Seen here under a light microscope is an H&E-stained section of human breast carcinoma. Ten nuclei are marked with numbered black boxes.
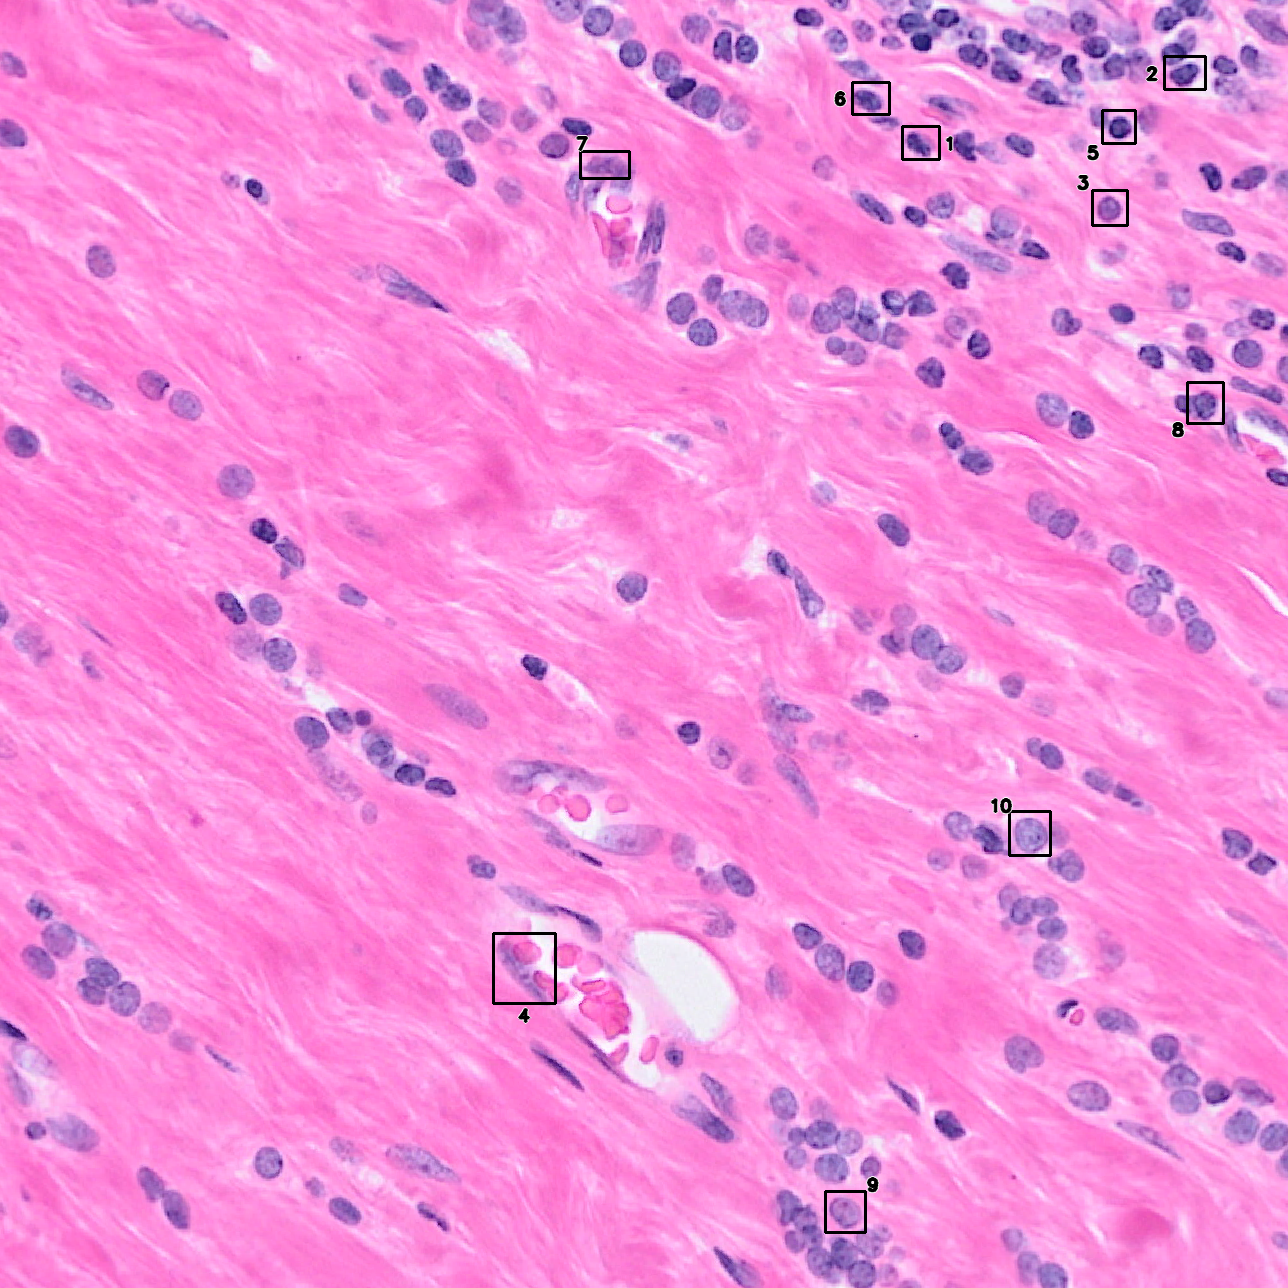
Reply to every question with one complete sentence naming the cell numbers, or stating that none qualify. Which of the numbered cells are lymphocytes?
Cells 1, 2, 3, 5, 6 and 8 are of one type, namely lymphocytes.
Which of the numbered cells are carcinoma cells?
As for the cells numbered 9 and 10, they are carcinoma cells.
